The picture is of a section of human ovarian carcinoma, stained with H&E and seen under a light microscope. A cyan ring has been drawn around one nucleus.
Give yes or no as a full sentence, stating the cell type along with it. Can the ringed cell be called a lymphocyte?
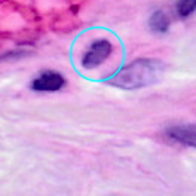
Yes, that the ringed cell is a lymphocyte is correct.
